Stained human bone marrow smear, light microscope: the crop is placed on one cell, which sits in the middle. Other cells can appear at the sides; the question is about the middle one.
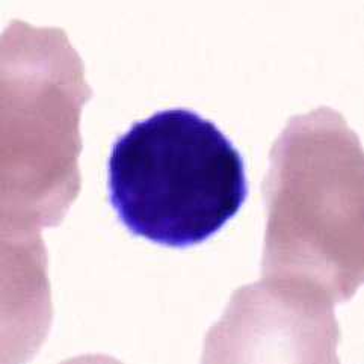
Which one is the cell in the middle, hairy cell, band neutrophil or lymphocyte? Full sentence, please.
The identification for the central cell is a lymphocyte.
